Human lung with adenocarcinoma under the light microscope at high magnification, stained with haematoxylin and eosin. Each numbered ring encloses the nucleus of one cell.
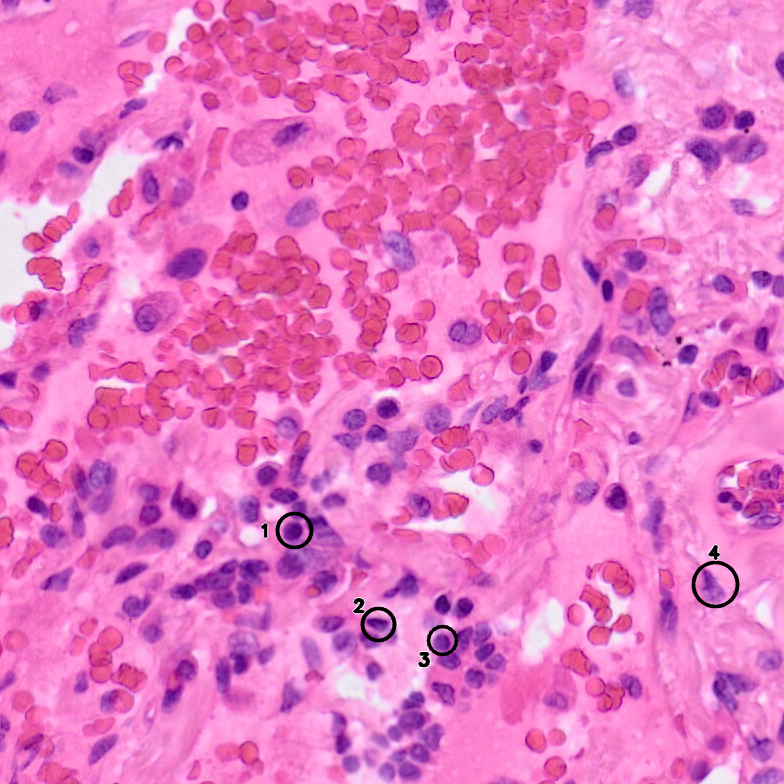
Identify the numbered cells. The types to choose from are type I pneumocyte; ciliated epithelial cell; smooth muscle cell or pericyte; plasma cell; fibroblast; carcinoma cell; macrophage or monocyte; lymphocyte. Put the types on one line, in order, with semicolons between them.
lymphocyte; lymphocyte; lymphocyte; fibroblast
